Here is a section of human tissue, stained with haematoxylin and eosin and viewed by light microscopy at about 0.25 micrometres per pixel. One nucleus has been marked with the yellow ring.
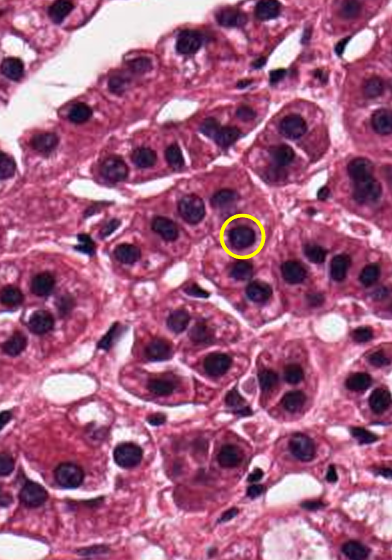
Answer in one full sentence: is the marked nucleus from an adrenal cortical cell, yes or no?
Yes, the cell to which the marked nucleus belongs is an adrenal cortical cell.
